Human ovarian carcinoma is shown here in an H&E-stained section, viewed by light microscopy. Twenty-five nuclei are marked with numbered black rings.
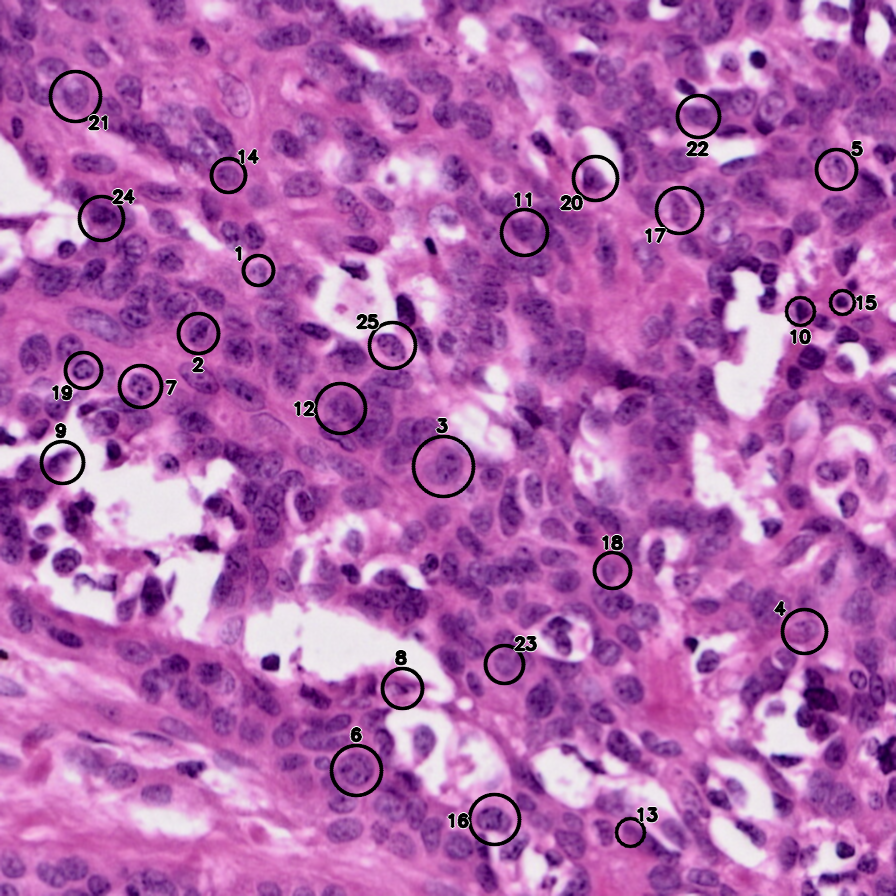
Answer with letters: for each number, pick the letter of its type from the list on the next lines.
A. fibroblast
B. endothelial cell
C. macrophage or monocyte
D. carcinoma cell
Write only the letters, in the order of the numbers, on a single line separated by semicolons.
C; C; D; D; C; D; C; C; D; C; D; D; D; D; C; C; C; D; C; C; D; D; D; D; C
